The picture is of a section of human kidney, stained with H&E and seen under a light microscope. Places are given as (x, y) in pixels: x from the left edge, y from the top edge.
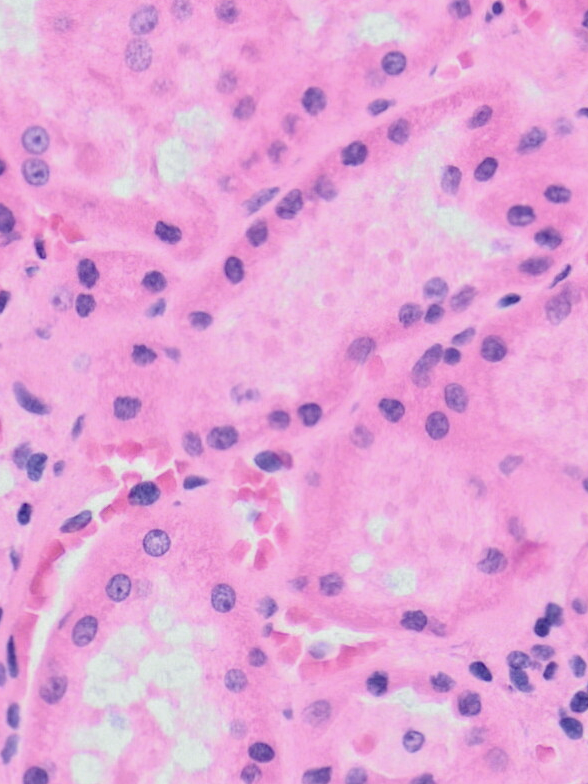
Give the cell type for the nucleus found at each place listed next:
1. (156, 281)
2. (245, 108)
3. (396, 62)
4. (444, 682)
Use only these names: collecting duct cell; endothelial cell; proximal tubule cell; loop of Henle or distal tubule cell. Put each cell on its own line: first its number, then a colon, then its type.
1: proximal tubule cell
2: proximal tubule cell
3: proximal tubule cell
4: loop of Henle or distal tubule cell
